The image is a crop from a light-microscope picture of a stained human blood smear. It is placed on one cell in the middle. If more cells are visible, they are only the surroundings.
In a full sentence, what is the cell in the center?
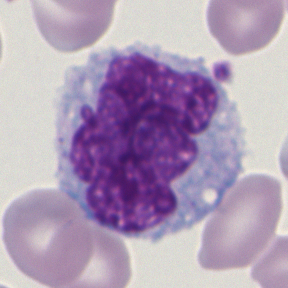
Looking at the middle of the crop, the cell there is a monocyte.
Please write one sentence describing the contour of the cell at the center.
The edge is uneven, and this unevenness takes the form of ragged stretches or projections.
